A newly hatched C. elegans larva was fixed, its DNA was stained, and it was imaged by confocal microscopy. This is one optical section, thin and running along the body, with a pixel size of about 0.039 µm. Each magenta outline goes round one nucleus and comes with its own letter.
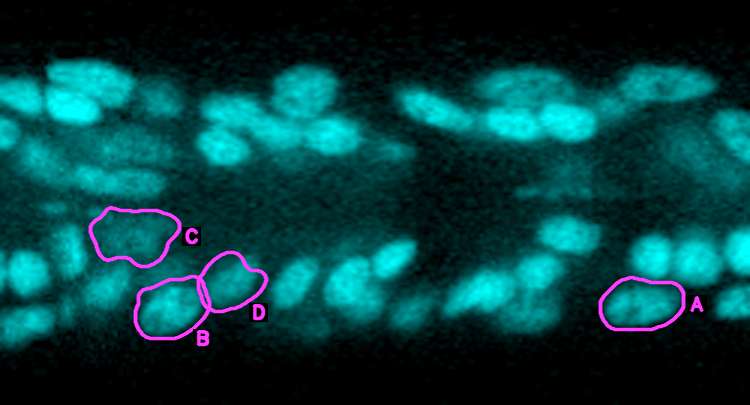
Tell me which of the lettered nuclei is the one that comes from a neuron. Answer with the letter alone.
D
